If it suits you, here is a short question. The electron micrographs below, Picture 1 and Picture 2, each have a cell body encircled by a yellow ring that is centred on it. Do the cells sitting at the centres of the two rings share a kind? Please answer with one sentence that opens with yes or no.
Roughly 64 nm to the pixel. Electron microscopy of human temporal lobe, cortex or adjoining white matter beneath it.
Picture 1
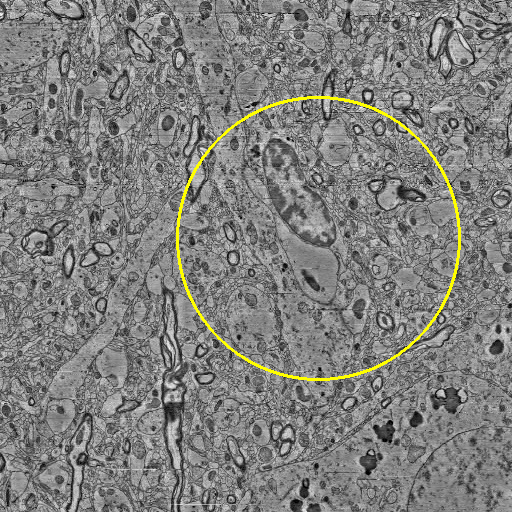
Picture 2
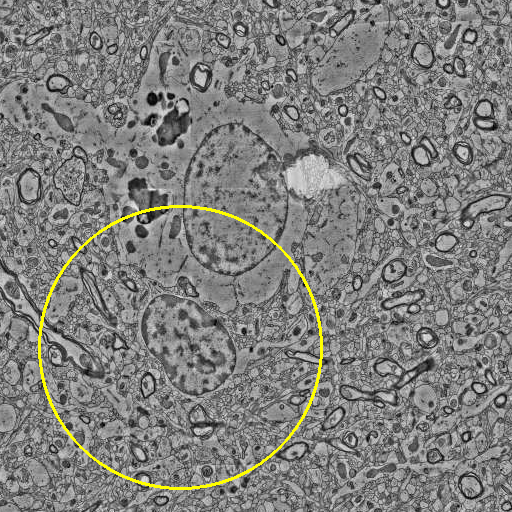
Yes, the two cells sitting at the ring centres share a single kind.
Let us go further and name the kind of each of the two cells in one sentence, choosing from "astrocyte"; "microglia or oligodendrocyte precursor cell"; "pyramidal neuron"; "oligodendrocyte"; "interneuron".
The cell in the first picture is a microglial cell or oligodendrocyte precursor cell, and so is the one in the second.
